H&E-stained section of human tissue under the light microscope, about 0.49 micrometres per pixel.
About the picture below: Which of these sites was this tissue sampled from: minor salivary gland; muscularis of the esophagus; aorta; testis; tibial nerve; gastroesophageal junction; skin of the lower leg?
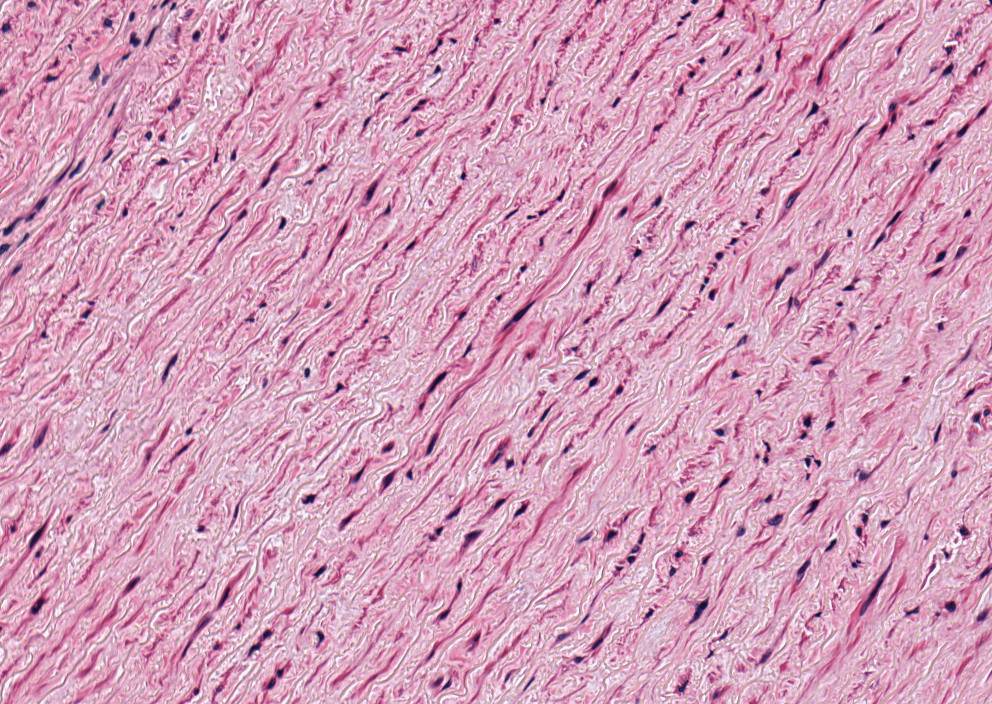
aorta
